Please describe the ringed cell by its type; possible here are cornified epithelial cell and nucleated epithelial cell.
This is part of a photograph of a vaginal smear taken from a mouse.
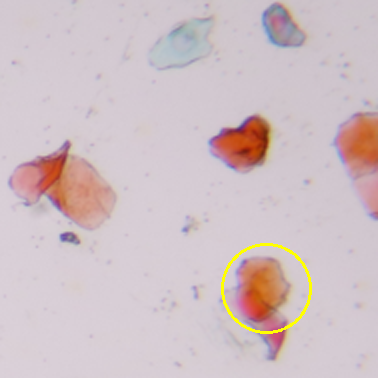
The yellow ring marks a cornified epithelial cell.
